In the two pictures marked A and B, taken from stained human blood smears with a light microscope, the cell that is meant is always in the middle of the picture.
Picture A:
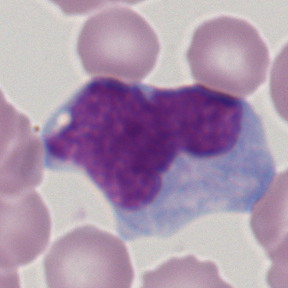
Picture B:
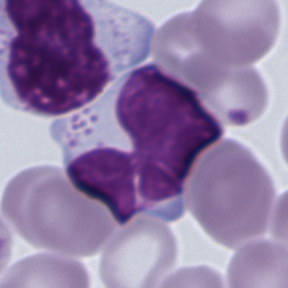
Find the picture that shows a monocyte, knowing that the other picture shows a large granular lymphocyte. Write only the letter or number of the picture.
A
